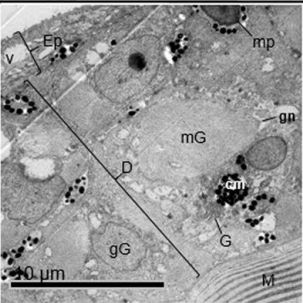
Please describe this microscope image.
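This electron micrograph shows a section of skin with a thin surface epidermis at the top and a dermis beneath it holding glands. A large gland with pale, finely textured content lies in the middle, its cells bordered by smaller nucleated cells. Small clusters of very dark, round melanin granules are scattered through the dermis and near the surface. At the lower right, bundles of muscle with parallel striated fibrils run obliquely across the field.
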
